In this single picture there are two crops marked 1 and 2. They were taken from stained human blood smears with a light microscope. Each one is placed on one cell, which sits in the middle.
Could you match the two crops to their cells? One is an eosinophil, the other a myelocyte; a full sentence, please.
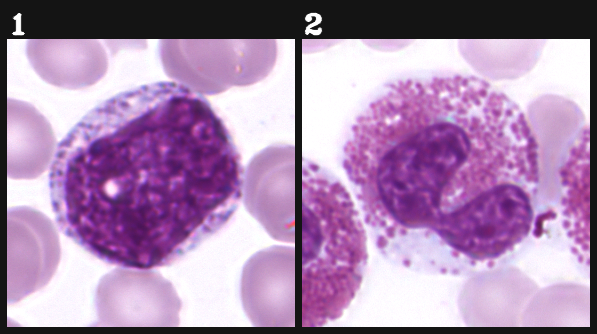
Crop 1 is designated a myelocyte, and crop 2 is designated an eosinophil.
